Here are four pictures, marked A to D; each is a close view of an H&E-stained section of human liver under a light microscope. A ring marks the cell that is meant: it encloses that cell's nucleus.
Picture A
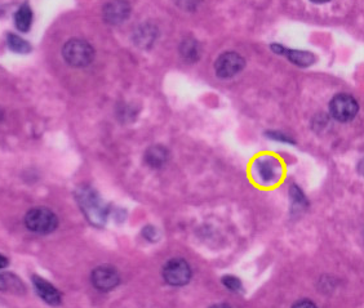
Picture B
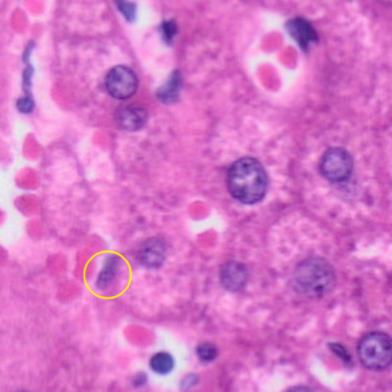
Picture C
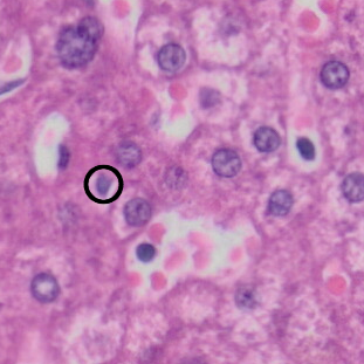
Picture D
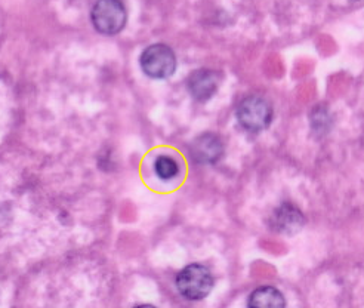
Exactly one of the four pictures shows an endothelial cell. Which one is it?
B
